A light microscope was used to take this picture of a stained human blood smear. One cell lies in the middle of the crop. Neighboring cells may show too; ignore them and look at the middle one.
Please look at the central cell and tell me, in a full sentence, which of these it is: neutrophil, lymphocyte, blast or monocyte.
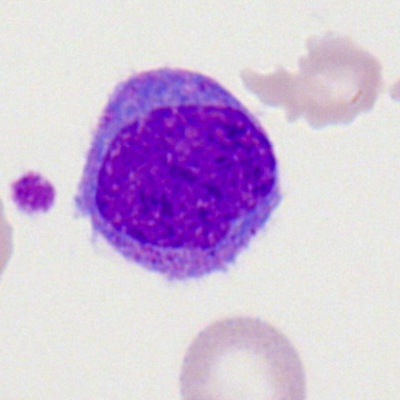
For this crop, the central cell is a monocyte.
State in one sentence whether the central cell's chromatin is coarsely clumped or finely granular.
The chromatin remains finely textured, with no coarse clumps to speak of.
